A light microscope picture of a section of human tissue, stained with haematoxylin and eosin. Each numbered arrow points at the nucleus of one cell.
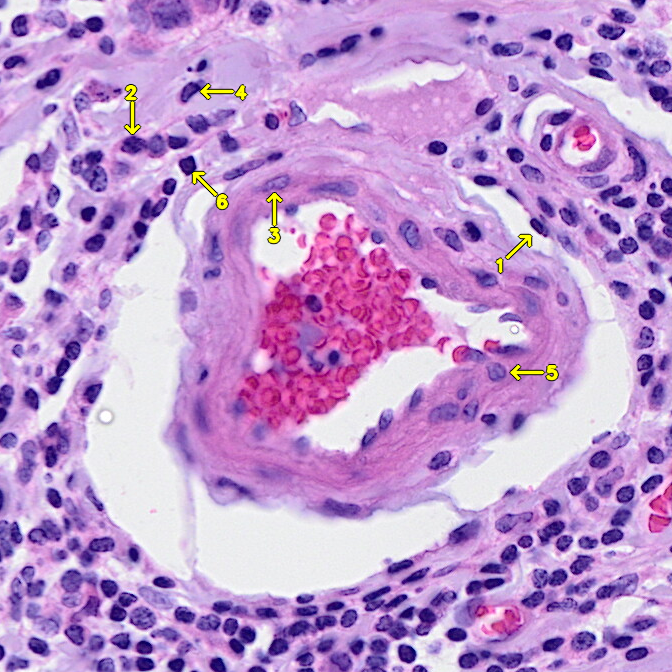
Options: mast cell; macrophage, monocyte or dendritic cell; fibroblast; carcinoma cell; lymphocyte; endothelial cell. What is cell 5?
endothelial cell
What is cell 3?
endothelial cell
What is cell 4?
lymphocyte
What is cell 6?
lymphocyte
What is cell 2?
lymphocyte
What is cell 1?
lymphocyte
